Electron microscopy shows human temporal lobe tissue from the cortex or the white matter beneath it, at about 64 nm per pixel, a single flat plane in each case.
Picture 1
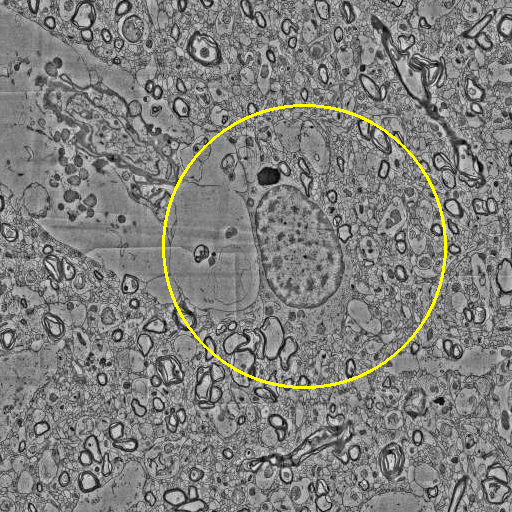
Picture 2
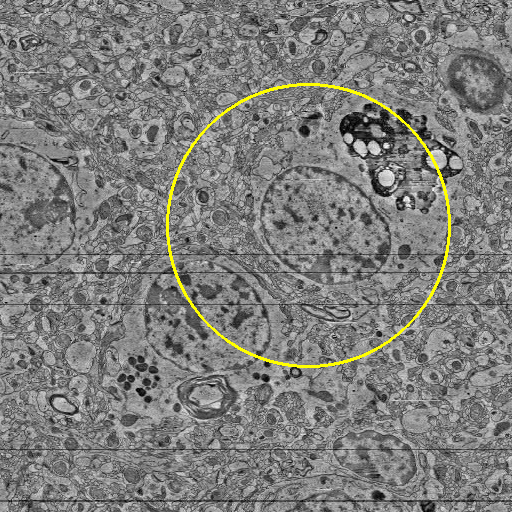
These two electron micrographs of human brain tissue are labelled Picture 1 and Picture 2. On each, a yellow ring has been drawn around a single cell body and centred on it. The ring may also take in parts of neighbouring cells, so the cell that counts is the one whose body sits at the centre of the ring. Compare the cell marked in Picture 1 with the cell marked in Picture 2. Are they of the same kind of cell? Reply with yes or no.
no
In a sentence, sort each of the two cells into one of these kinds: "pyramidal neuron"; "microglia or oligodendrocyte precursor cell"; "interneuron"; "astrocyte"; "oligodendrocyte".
The first of the two cells is an oligodendrocyte, and the second is an astrocyte.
